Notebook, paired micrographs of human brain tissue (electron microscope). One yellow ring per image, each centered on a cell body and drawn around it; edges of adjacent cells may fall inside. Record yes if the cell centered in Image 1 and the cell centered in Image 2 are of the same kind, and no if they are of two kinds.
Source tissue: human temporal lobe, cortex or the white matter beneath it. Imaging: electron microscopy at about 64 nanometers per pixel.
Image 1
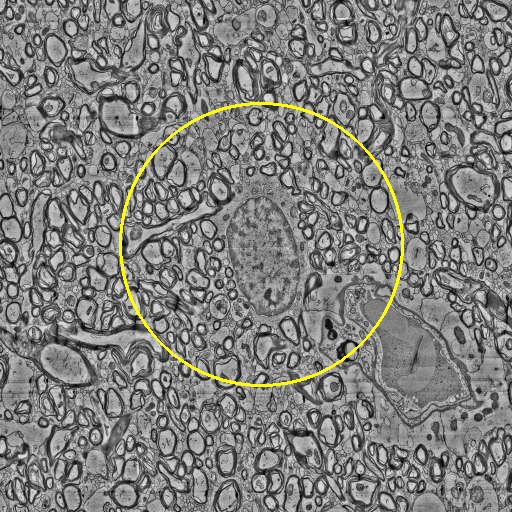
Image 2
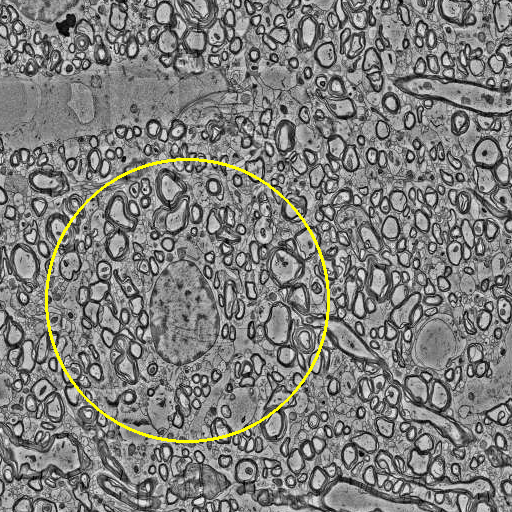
no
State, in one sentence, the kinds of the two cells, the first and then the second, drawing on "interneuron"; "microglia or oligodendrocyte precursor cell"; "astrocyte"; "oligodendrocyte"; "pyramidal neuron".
The ring in the second picture is centred on a microglial cell or oligodendrocyte precursor cell, the ring in the first on an oligodendrocyte.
